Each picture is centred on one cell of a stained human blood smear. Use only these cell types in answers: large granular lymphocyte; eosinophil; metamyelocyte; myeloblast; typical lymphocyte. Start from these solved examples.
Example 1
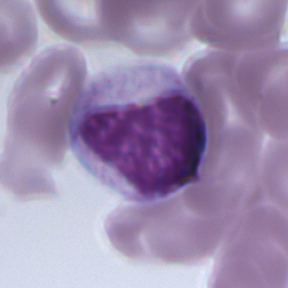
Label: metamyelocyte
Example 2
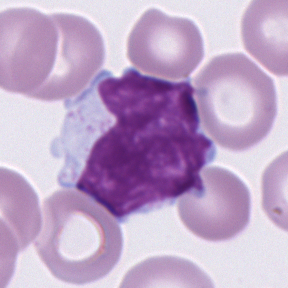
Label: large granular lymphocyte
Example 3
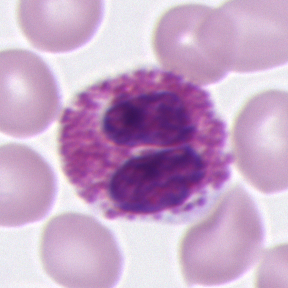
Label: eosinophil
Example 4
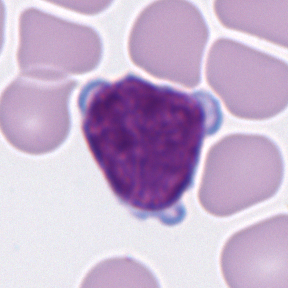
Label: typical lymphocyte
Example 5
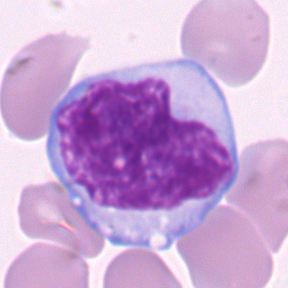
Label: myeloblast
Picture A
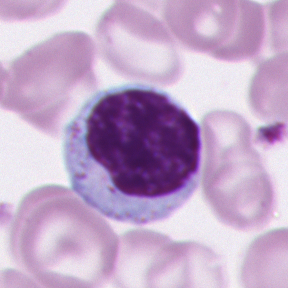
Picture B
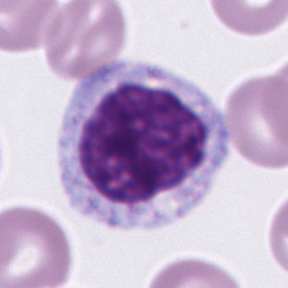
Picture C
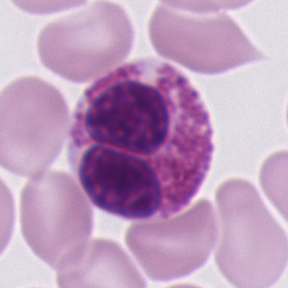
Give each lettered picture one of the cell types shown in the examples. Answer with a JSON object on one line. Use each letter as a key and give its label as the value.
{"A": "large granular lymphocyte", "B": "metamyelocyte", "C": "eosinophil"}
